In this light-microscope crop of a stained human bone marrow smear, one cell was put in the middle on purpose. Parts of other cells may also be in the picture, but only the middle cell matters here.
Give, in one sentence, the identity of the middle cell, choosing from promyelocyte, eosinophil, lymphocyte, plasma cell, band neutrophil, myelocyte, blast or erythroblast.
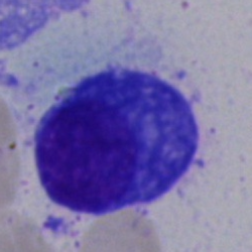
The cell at the middle of the frame should be recorded as a plasma cell.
